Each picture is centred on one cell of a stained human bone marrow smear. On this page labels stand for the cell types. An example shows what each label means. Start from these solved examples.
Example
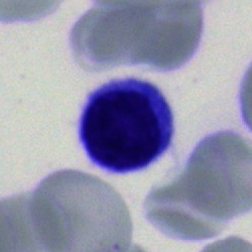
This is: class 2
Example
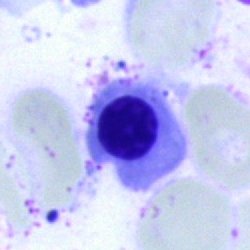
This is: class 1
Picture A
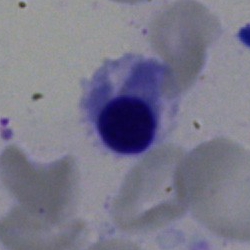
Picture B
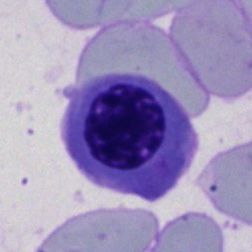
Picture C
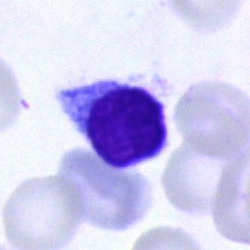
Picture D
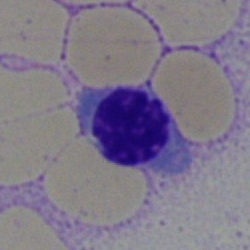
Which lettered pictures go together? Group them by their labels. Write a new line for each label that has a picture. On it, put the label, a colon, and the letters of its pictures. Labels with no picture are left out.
class 2: C
class 1: A, B, D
